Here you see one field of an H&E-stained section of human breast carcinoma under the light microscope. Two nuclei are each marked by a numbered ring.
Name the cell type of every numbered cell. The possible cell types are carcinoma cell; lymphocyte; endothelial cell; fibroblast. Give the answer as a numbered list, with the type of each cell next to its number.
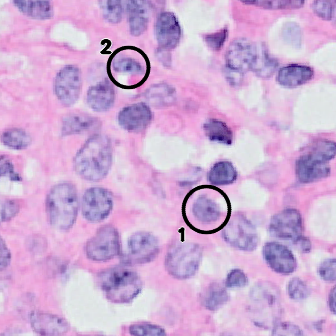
1. carcinoma cell
2. endothelial cell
